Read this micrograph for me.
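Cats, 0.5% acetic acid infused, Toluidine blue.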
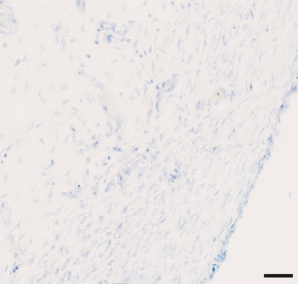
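This is the bladder wall lining in which the urothelium is missing, so the surface is formed directly by the sub-urothelium and lamina propria. No dense, multilayered blue epithelial band is present along the edge; only faint, discontinuous blue staining marks the surface. The underlying connective tissue is pale and loosely spaced, consistent with edema, and contains many small, scattered blue-stained cells dispersed through it, an infiltrate of inflammatory cells. The cells lie separated by clear space rather than in organized layers.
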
